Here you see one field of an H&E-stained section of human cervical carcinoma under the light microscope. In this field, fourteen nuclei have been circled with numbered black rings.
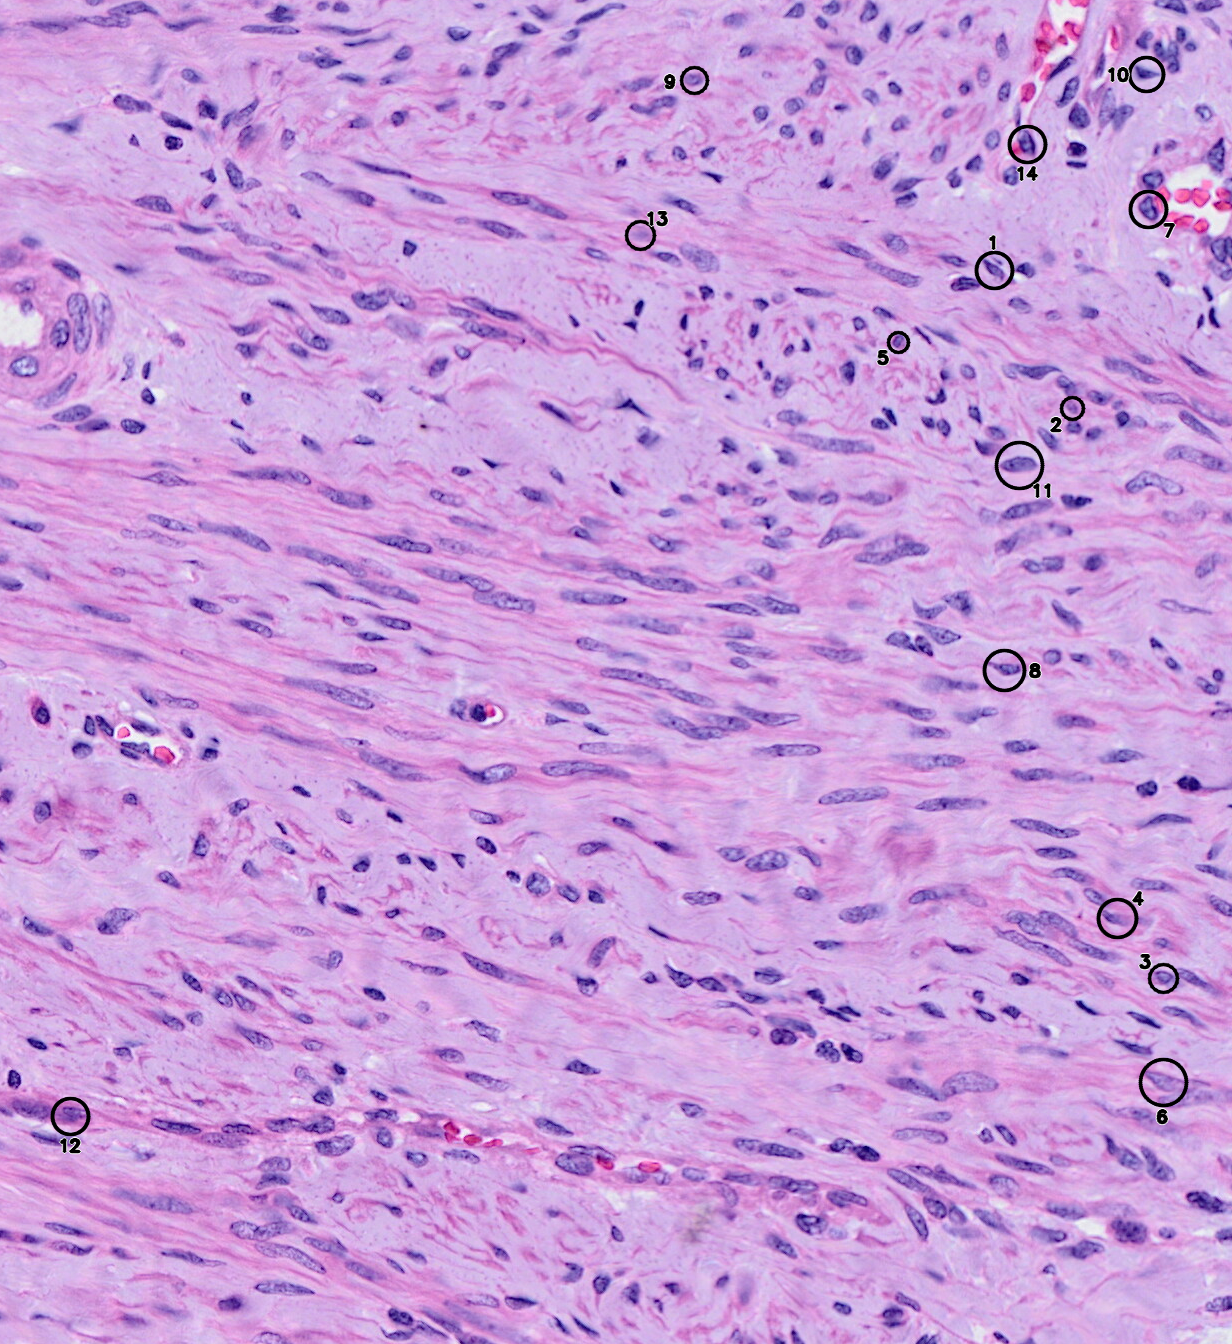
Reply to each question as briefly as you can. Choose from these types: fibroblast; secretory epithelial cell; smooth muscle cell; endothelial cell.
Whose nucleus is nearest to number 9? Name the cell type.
smooth muscle cell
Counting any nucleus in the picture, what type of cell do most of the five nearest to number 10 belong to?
endothelial cell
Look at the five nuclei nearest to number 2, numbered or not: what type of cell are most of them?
smooth muscle cell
